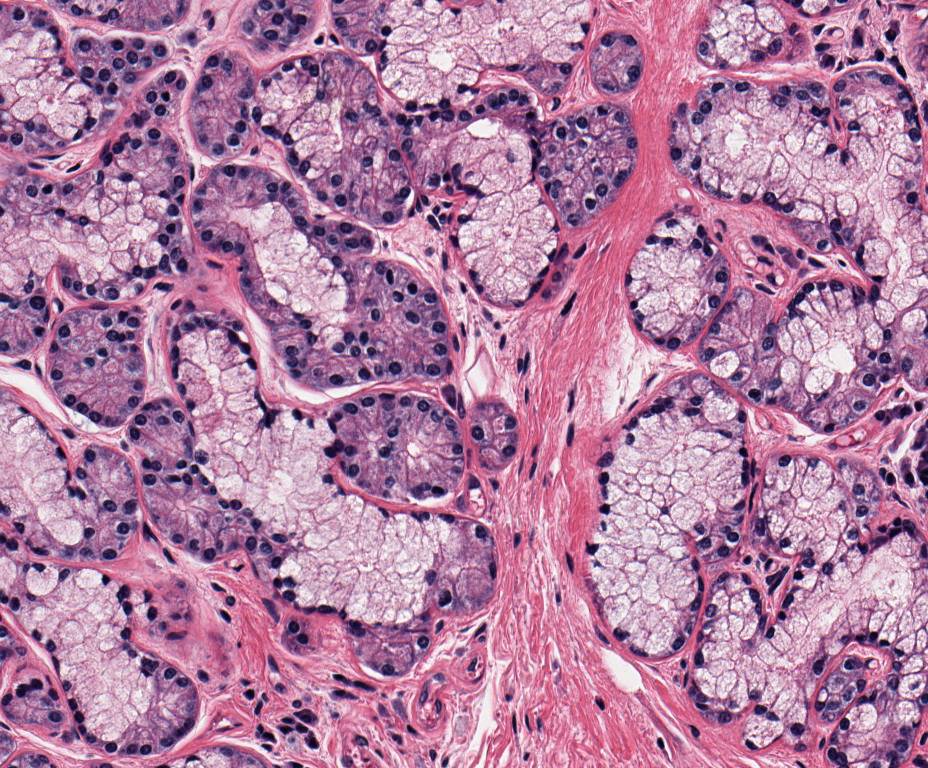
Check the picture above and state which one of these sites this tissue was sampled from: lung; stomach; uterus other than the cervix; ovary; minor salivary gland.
minor salivary gland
